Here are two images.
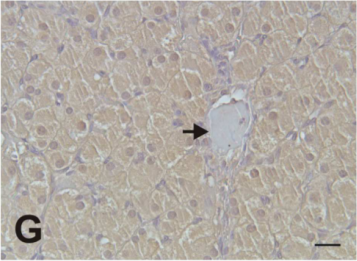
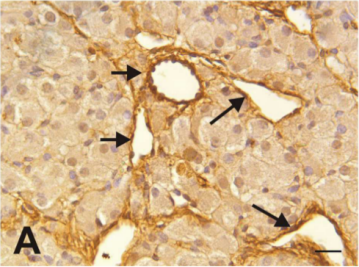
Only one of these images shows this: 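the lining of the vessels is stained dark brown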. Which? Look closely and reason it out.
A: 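First image: the vessel lining at the arrow is pale, without brown stain. Second image: the vessel linings at the arrows are dark brown. The answer: the second image.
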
